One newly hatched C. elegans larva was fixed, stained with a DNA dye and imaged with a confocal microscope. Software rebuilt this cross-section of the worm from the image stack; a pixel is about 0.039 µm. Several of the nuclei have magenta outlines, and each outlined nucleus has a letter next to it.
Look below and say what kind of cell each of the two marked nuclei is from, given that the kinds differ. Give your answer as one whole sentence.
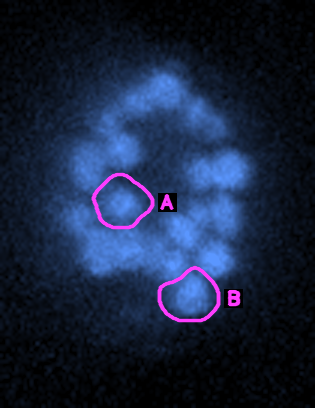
A is the nucleus of a GLR cell; B is the nucleus of a neuron.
